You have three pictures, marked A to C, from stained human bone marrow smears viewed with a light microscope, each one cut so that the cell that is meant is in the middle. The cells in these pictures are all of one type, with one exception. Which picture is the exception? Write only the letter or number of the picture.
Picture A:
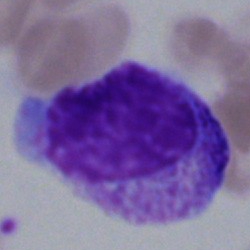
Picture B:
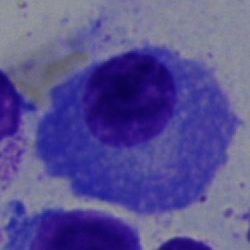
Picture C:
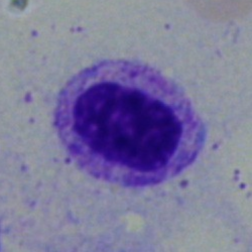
B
